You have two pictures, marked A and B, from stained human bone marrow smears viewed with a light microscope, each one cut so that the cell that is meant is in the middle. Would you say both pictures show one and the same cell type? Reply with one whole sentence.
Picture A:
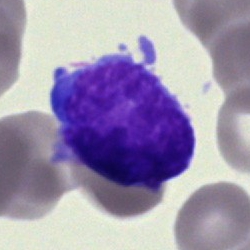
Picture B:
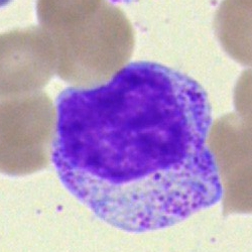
No; the cell in picture A is a blast, while the one in picture B is a myelocyte.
